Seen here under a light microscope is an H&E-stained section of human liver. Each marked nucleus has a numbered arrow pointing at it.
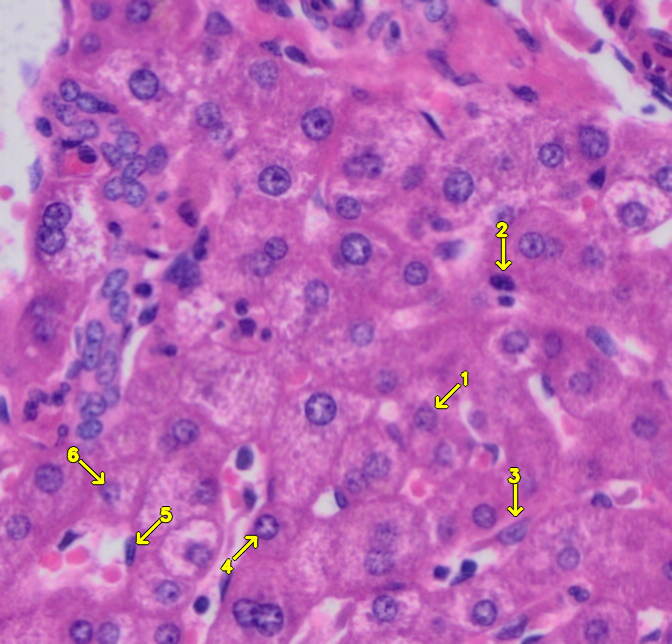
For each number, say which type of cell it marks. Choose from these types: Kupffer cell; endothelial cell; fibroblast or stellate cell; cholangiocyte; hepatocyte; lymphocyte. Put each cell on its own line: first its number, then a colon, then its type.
1: hepatocyte
2: fibroblast or stellate cell
3: Kupffer cell
4: hepatocyte
5: endothelial cell
6: hepatocyte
